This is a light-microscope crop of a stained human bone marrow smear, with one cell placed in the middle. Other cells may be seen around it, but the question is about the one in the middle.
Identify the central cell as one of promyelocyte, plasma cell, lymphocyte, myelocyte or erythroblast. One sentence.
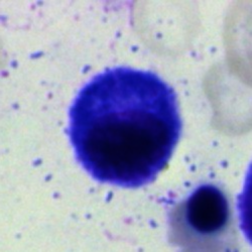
Of the cells in this crop, the central one is a plasma cell.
